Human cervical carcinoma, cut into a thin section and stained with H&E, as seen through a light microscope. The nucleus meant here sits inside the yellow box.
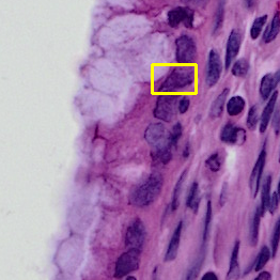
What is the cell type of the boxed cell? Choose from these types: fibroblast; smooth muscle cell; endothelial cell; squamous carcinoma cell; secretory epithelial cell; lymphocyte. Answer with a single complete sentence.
Recorded by type, the boxed cell is a secretory epithelial cell.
